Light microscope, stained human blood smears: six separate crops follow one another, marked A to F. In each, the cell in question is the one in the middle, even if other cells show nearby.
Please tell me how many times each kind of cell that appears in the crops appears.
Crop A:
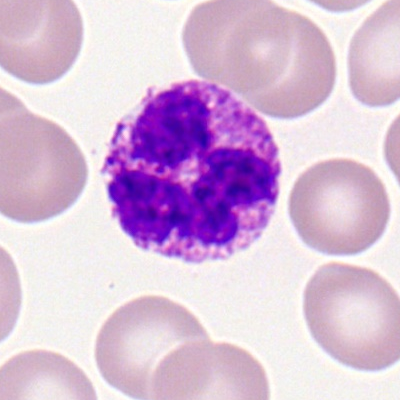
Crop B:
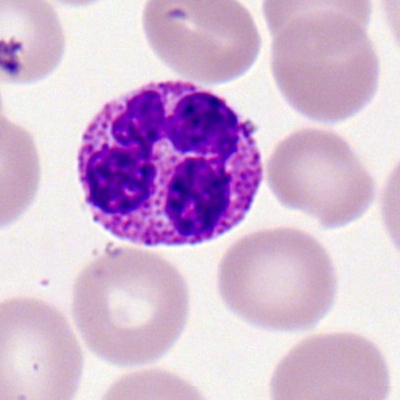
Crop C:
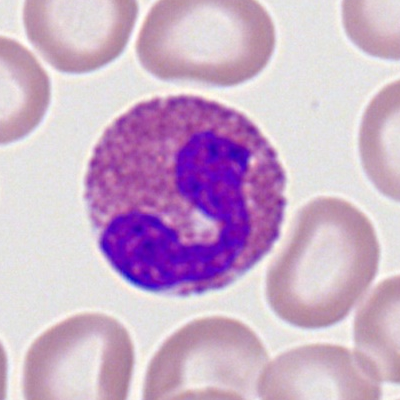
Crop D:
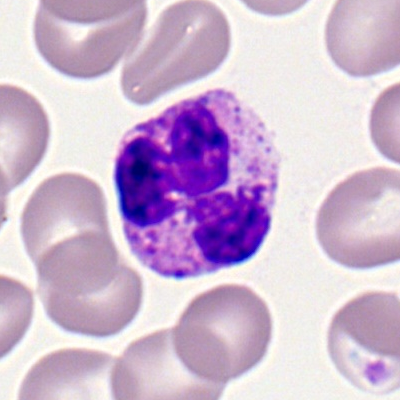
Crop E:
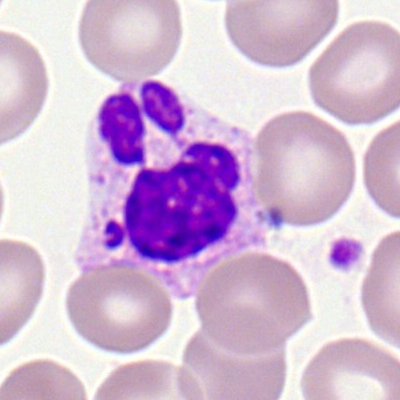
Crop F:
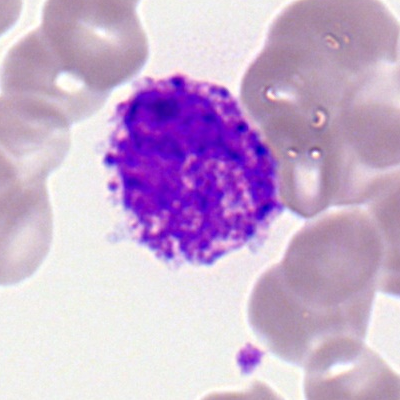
basophil: 4
eosinophil: 2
